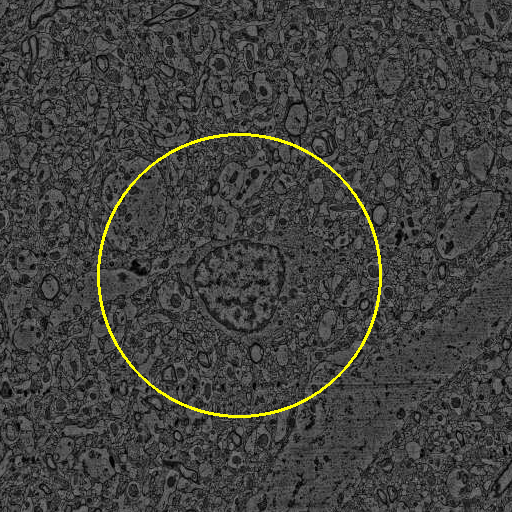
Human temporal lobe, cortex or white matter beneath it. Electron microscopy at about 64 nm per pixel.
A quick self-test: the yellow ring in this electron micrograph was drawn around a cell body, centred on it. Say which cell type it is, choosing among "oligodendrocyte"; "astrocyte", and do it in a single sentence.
The yellow-ringed cell is an oligodendrocyte.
